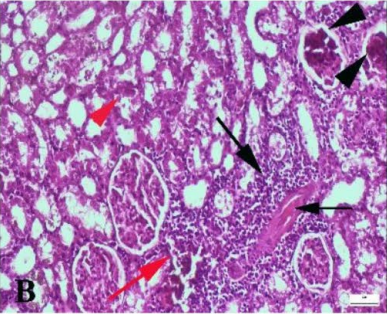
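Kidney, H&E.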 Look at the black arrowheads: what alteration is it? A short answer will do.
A: Proteinous materials and sclerosis in the glomerulus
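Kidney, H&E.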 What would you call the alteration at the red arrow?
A: Micro hemorrhage.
